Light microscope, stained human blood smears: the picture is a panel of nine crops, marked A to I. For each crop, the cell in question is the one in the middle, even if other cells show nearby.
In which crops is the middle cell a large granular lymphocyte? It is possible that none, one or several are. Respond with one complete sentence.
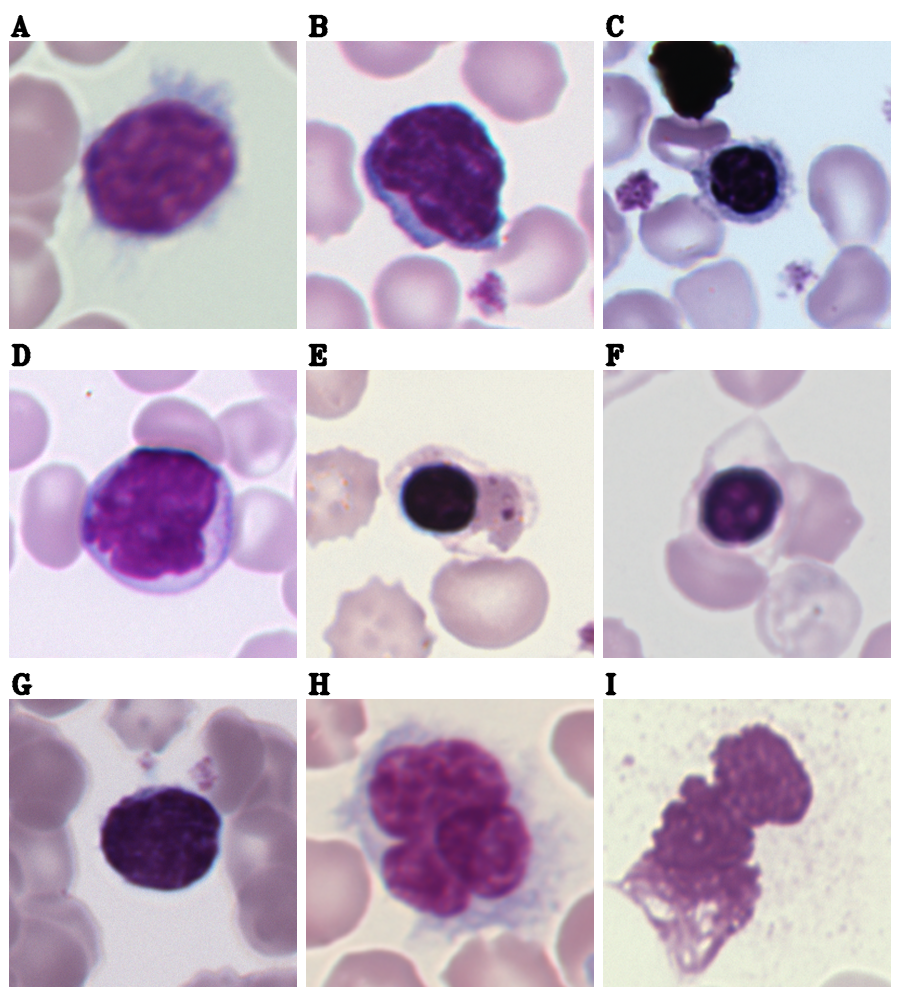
Crop D is the one and only crop with a large granular lymphocyte.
